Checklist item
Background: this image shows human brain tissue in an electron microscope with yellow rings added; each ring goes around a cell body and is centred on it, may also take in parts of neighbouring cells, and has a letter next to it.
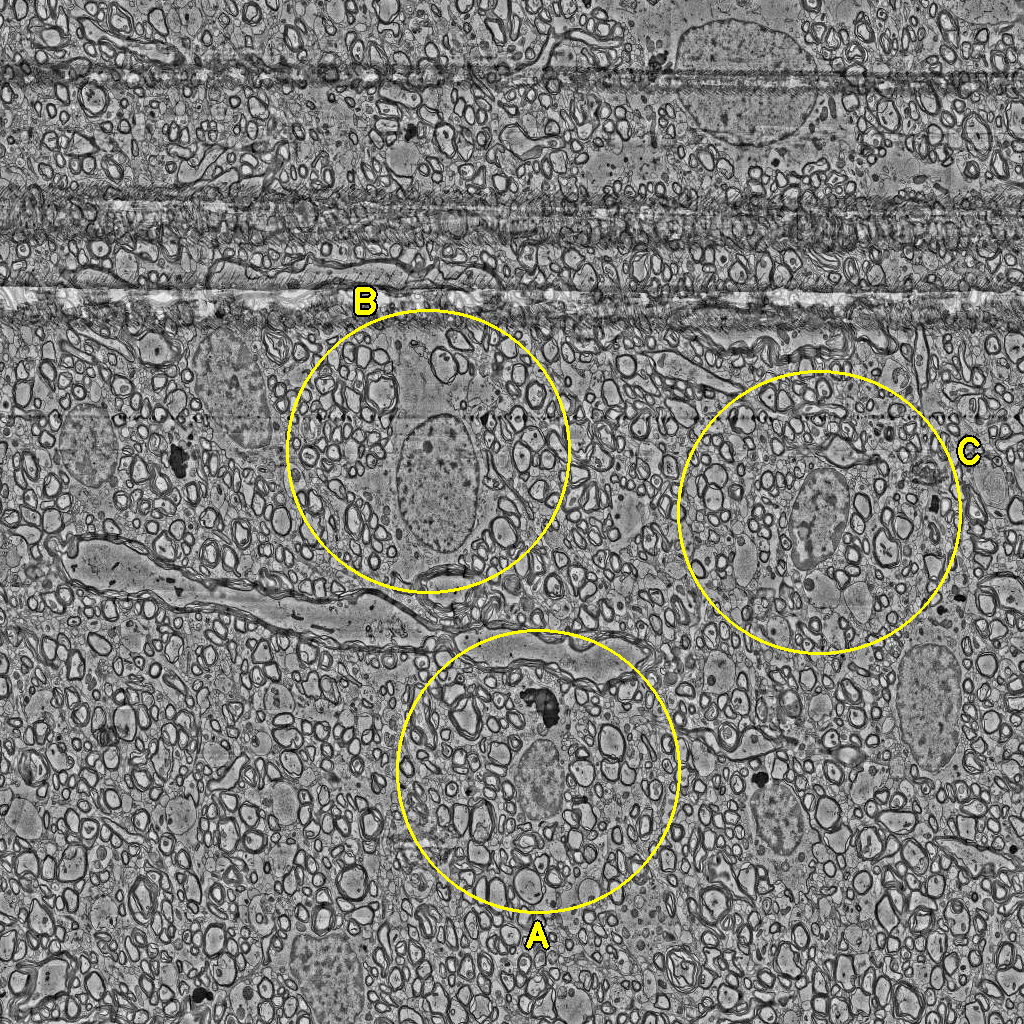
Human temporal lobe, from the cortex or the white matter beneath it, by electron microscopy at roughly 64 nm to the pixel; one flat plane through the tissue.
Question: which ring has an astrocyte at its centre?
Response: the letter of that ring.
B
